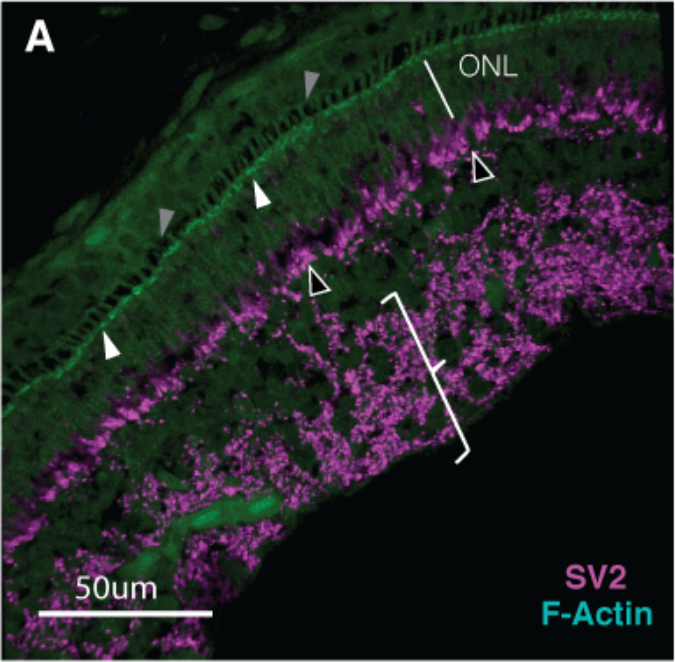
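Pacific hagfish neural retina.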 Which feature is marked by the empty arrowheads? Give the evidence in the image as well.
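The empty arrowheads point at a continuous band of magenta puncta. The band runs just beneath the labelled outer nuclear layer, parallel to the retinal surface. On this evidence: layer of synapses.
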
